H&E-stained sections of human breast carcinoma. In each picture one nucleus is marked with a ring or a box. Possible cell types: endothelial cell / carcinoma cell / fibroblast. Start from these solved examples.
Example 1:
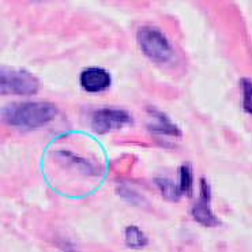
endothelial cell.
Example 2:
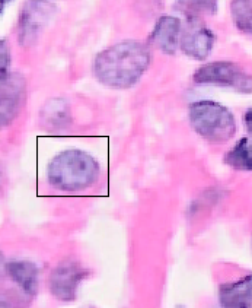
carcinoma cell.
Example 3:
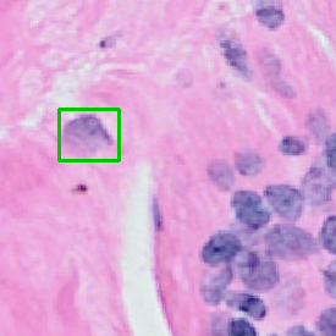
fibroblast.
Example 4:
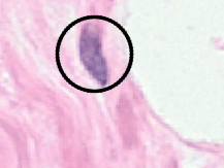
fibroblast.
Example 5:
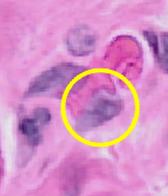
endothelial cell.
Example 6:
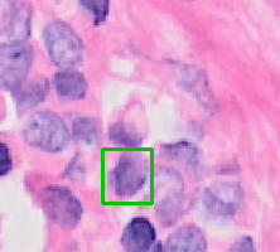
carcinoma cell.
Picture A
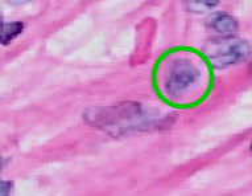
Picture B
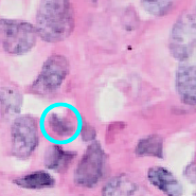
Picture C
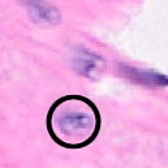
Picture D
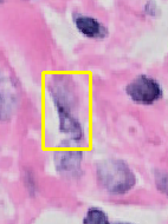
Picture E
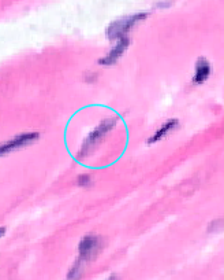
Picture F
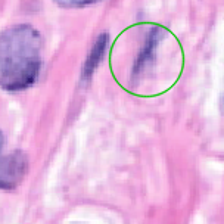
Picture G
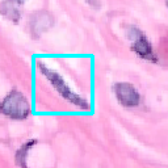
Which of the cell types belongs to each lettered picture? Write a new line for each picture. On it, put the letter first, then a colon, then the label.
A: endothelial cell.
B: carcinoma cell.
C: endothelial cell.
D: fibroblast.
E: fibroblast.
F: fibroblast.
G: fibroblast.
